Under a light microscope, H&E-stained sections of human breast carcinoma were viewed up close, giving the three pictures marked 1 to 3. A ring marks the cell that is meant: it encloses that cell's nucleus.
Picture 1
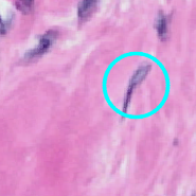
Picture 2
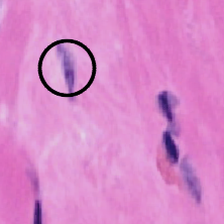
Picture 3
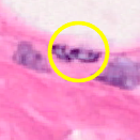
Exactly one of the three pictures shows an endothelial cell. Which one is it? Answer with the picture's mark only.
3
